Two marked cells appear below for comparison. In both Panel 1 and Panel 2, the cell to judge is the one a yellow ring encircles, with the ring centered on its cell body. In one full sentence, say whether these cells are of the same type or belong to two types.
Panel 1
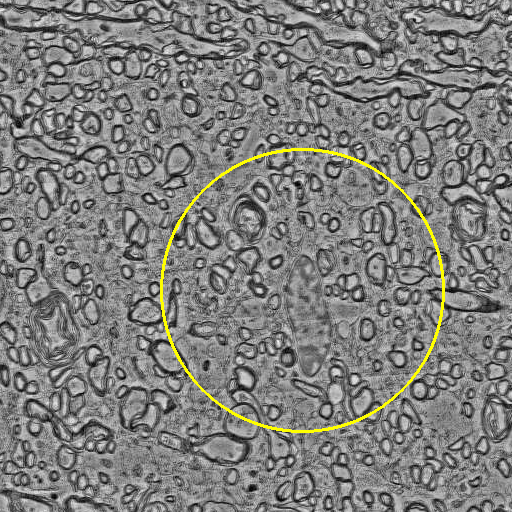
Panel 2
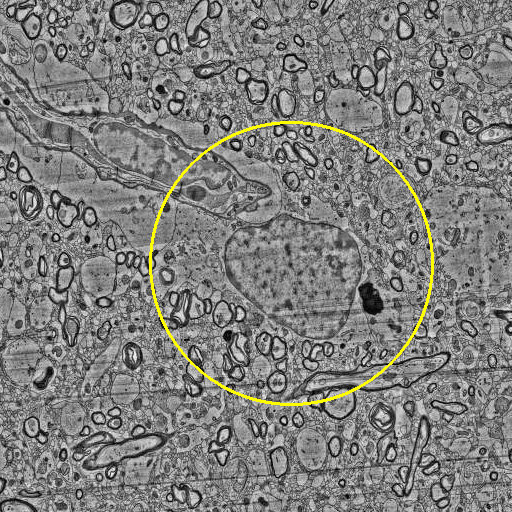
The cell centered in the Panel 1 ring and the one in Panel 2 are of the same type.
